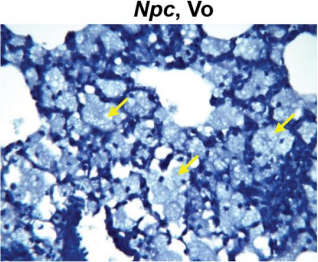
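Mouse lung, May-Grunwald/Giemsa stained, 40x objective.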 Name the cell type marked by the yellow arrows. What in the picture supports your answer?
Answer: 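The arrows point to large pale cells with bubbly cytoplasm. So: Foamy macrophages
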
